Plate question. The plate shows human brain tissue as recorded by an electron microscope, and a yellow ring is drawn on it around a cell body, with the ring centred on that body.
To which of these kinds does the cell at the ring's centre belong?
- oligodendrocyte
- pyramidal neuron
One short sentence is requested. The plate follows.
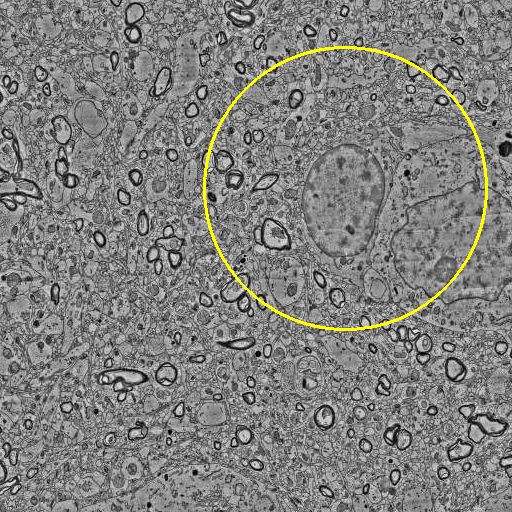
The cell at the ring's centre is an oligodendrocyte.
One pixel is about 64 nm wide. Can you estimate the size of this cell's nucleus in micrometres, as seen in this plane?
In this plane the nucleus measures roughly 7 by 5 micrometres.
